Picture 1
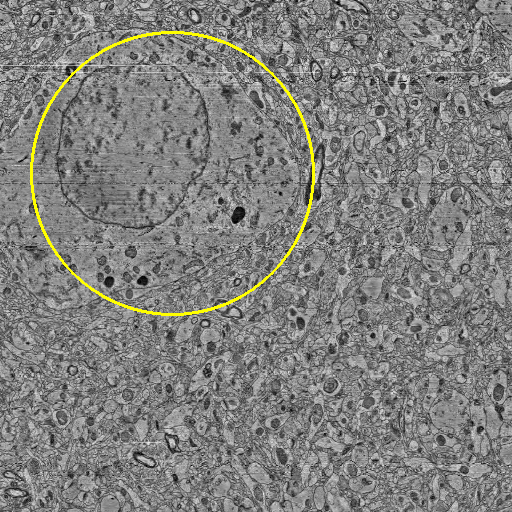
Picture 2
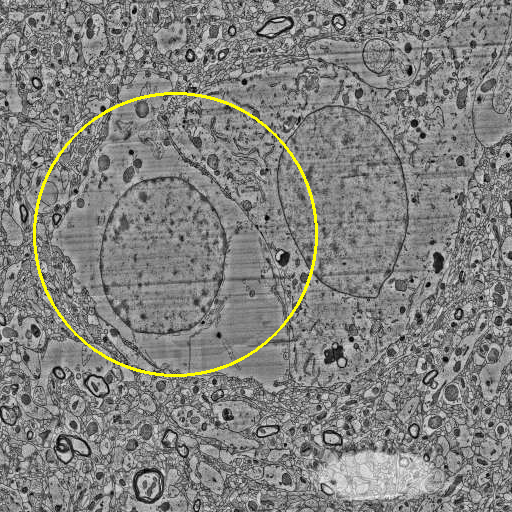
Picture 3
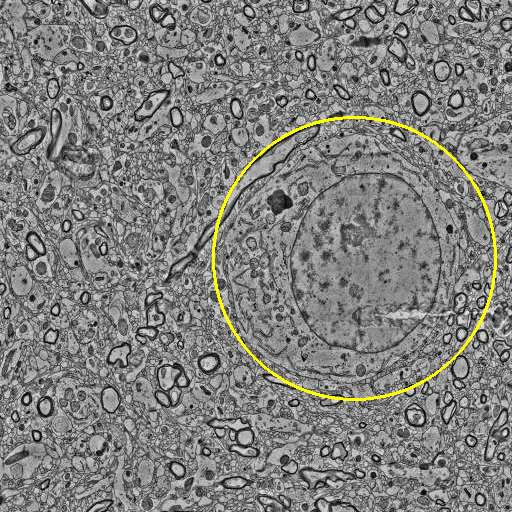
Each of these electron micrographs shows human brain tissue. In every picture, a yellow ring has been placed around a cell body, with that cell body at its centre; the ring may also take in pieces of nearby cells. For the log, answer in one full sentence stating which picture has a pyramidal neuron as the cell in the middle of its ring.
In picture 1, the cell at the centre of the yellow ring is the requested one.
